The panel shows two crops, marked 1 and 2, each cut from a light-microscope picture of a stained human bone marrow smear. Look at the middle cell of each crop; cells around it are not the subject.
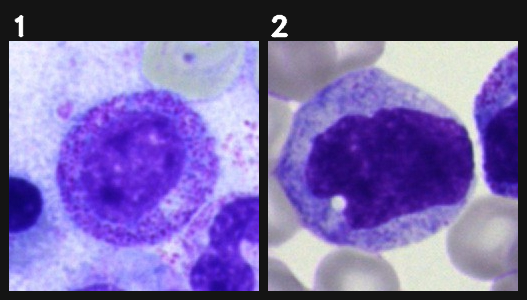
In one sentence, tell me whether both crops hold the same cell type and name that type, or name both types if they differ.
No, crop 1 is where a myelocyte is, and crop 2 is where a monocyte is.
